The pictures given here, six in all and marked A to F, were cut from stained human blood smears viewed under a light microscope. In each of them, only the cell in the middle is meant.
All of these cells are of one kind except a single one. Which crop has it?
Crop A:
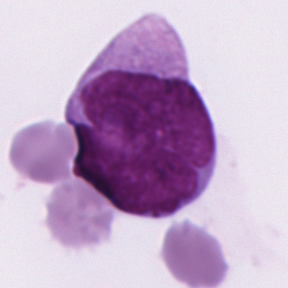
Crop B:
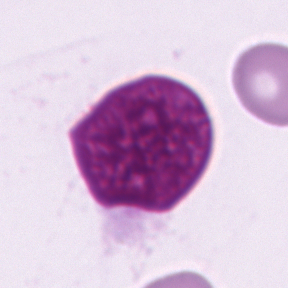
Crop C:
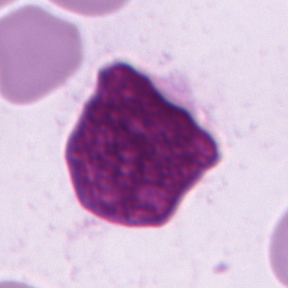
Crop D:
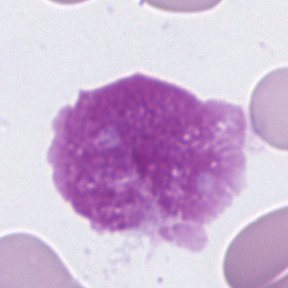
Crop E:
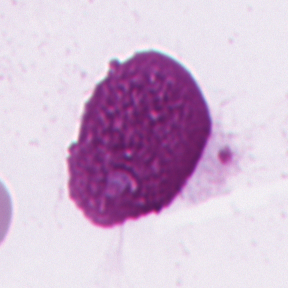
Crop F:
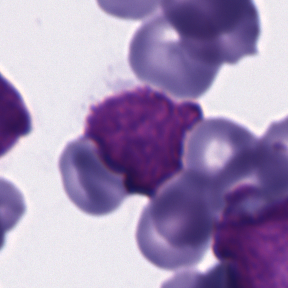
A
